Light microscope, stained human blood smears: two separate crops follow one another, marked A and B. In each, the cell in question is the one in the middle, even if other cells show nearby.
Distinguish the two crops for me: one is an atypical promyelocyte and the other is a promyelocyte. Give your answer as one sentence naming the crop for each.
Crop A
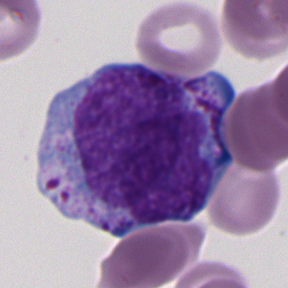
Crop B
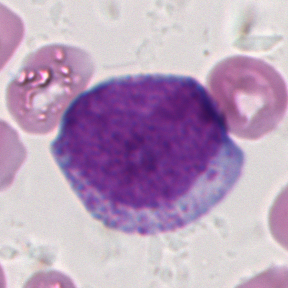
Among the crops, crop A is an atypical promyelocyte and crop B is a promyelocyte.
